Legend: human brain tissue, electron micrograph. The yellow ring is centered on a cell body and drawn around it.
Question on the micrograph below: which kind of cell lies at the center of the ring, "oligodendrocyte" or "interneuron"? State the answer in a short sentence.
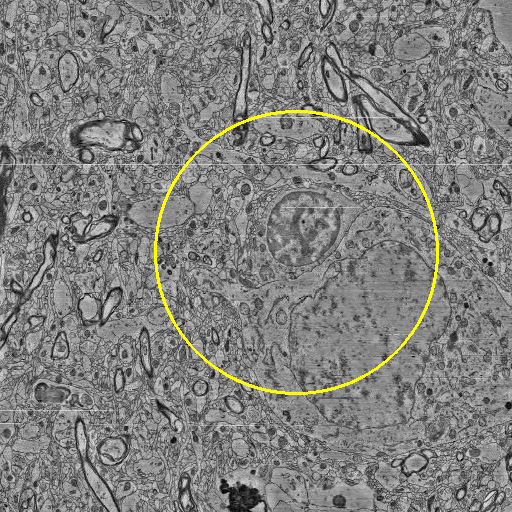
At the center of the ring lies an oligodendrocyte.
